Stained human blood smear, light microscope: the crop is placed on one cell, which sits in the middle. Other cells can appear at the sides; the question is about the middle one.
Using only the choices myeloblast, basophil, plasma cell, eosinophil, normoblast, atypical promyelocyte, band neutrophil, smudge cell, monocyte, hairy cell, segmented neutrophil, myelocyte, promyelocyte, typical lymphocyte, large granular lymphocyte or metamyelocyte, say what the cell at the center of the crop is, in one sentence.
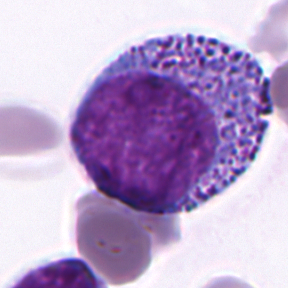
Framed in the middle of the crop is a promyelocyte.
